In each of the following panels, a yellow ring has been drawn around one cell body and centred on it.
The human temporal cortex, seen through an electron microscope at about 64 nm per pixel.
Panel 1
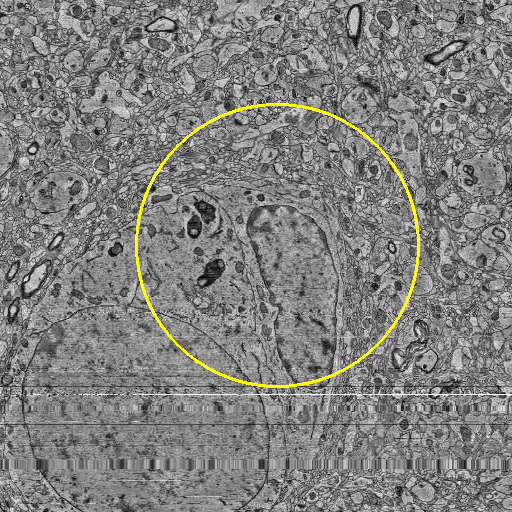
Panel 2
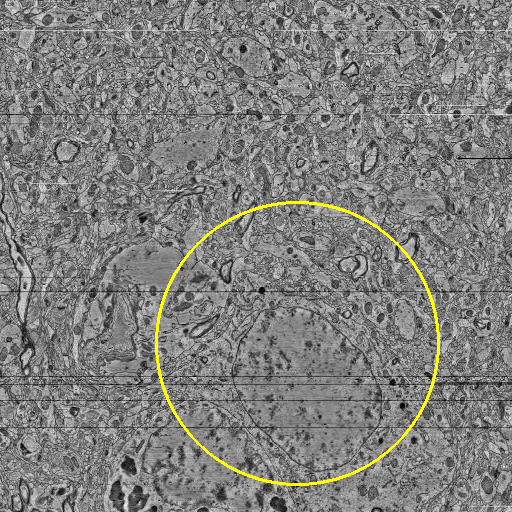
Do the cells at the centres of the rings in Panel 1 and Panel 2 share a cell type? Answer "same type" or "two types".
two types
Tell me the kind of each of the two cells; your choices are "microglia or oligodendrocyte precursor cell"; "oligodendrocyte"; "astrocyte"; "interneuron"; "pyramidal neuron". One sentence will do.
The ringed cell is a microglial cell or oligodendrocyte precursor cell in the first picture and a pyramidal neuron in the second picture.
